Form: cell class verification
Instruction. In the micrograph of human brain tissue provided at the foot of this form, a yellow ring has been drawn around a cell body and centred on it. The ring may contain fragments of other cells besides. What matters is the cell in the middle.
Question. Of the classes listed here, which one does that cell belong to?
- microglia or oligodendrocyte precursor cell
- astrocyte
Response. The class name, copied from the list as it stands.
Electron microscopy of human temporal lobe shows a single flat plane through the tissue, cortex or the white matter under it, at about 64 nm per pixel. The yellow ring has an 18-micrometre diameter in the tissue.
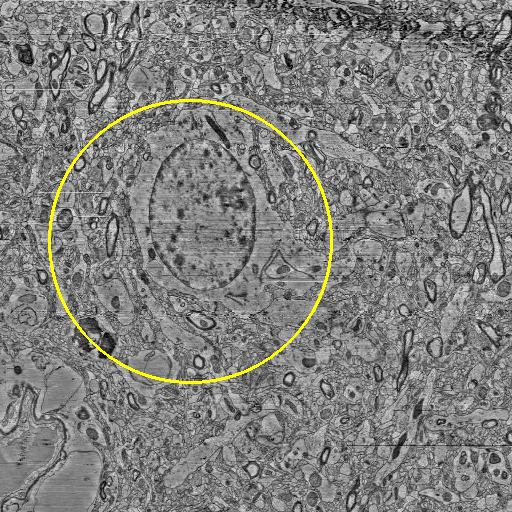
astrocyte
